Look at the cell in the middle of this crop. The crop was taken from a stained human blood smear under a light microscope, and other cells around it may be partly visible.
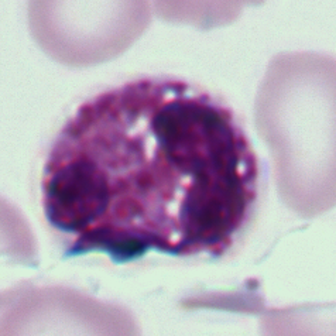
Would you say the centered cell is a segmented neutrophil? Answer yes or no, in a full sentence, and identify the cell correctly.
No, instead of a segmented neutrophil, the centred cell represents an eosinophil.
